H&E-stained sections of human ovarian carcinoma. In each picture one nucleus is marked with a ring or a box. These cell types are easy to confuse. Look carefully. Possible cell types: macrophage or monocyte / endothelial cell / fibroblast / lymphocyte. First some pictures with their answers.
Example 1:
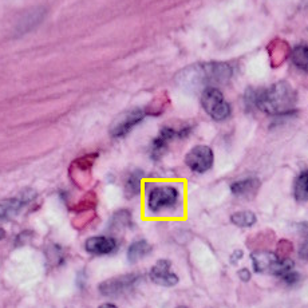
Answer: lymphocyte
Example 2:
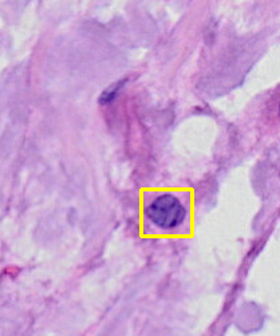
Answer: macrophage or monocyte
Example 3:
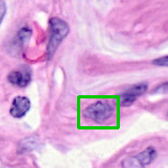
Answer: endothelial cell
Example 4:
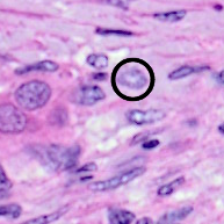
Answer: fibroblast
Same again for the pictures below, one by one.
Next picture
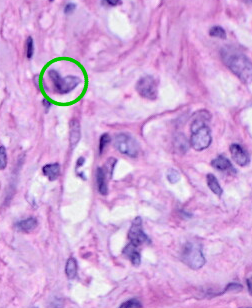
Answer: macrophage or monocyte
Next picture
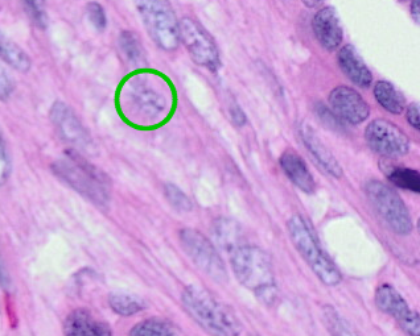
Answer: fibroblast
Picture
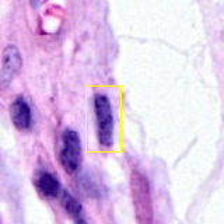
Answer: macrophage or monocyte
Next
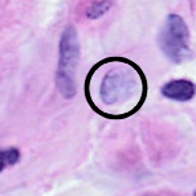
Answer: fibroblast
